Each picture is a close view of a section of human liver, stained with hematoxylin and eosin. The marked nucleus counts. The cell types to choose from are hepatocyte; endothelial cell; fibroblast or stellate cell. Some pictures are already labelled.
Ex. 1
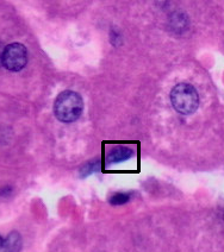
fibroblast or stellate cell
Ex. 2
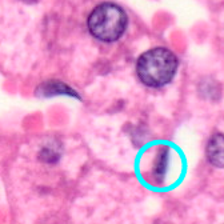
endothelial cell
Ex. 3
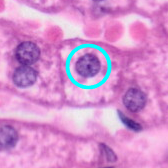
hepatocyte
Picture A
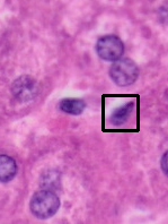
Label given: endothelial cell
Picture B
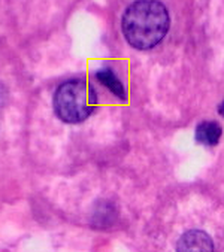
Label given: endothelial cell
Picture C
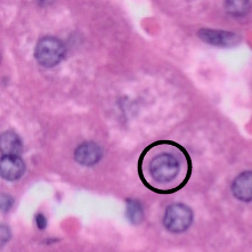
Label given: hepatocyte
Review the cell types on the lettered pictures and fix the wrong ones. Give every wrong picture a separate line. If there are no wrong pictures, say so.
B should be fibroblast or stellate cell, not endothelial cell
